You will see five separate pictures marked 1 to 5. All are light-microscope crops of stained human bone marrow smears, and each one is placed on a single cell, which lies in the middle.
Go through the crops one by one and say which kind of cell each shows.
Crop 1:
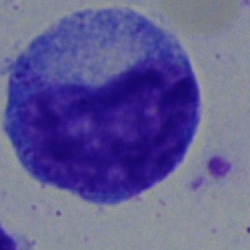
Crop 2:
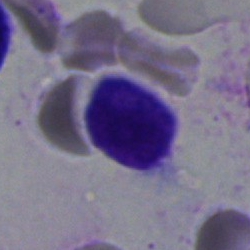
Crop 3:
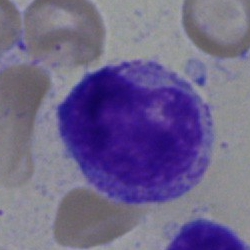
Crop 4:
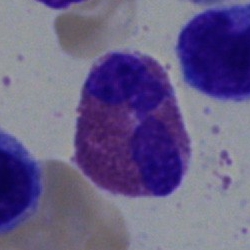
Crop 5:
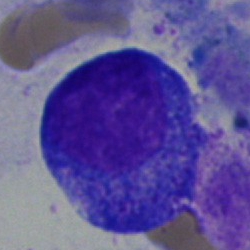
1: promyelocyte
2: lymphocyte
3: myelocyte
4: eosinophil
5: promyelocyte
